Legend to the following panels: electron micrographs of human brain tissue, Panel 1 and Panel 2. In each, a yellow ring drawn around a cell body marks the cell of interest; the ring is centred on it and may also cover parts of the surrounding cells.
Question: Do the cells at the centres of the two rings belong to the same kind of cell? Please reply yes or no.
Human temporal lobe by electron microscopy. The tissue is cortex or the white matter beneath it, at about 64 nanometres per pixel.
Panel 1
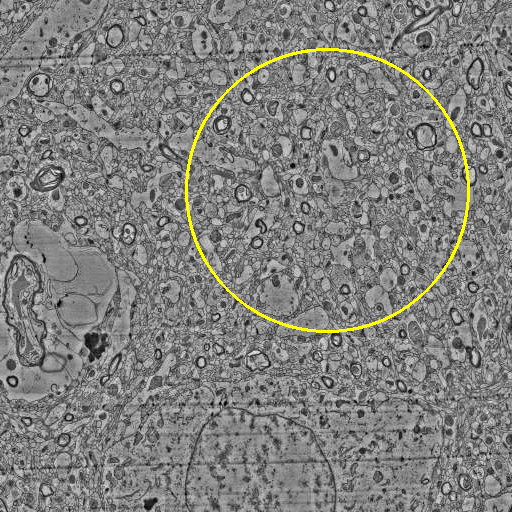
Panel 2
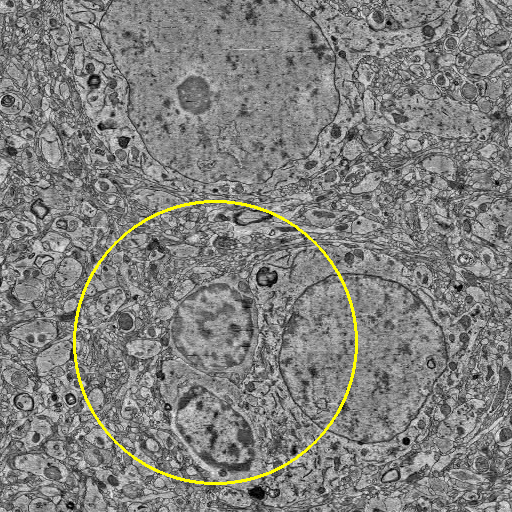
no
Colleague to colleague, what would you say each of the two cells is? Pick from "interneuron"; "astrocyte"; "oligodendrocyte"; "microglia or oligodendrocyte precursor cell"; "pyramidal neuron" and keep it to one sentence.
The cell in the first picture is a microglial cell or oligodendrocyte precursor cell; the second picture's cell is an oligodendrocyte.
